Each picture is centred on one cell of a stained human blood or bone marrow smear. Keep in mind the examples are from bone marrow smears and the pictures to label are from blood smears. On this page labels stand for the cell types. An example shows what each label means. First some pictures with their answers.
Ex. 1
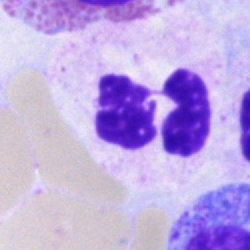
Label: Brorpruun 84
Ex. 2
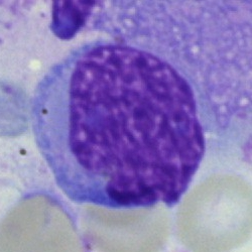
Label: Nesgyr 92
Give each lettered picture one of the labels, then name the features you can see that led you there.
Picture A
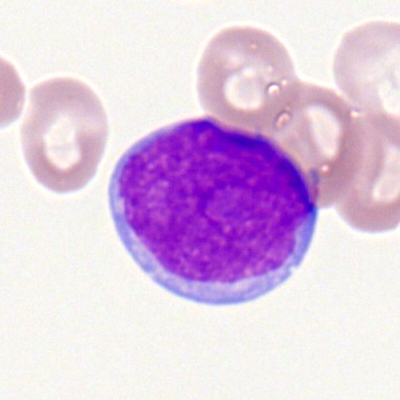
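Nesgyr 92. The cytoplasm is a scant blue rim that is widest along the lower side.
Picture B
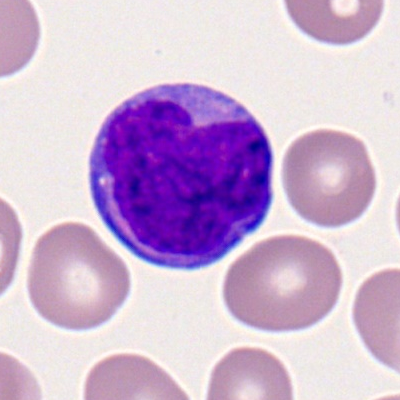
Nesgyr 92. The nucleus fills most of the cell.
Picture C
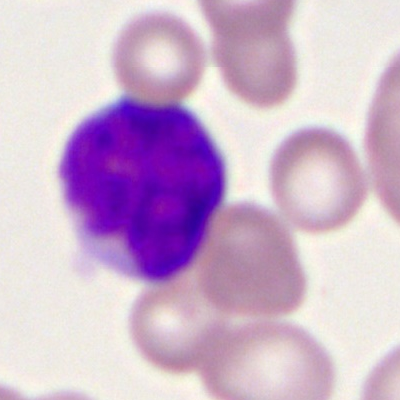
Nesgyr 92. The nucleus fills most of the cell, leaving only scant cytoplasm.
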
